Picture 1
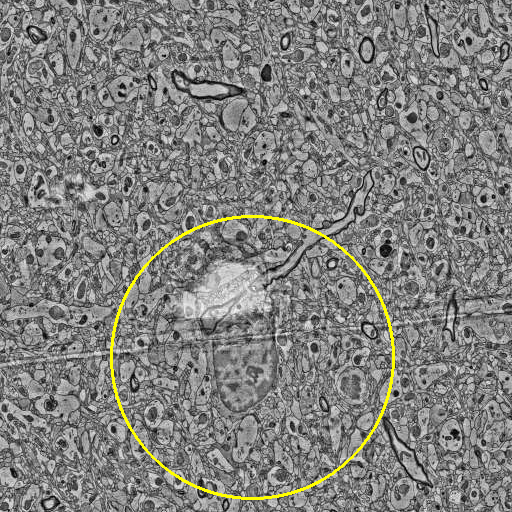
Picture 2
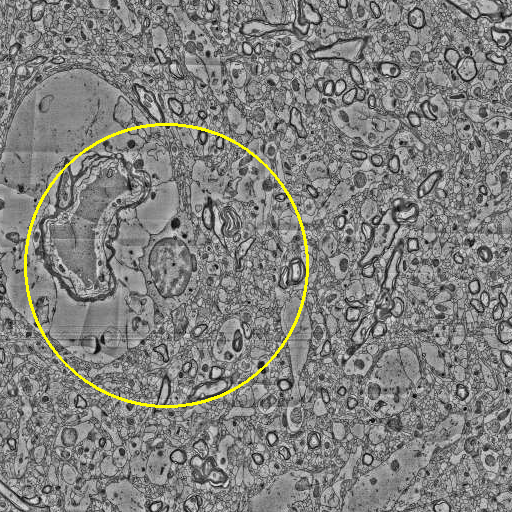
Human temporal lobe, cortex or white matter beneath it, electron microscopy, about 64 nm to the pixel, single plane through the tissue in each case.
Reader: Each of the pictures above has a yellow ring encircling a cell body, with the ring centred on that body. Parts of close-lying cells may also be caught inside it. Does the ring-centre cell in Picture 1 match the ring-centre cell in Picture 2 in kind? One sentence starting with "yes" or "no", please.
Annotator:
Yes, Picture 1 and Picture 2 show ring-centre cells of a single kind.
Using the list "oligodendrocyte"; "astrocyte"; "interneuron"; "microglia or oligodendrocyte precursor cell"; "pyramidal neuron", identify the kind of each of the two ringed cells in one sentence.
Each cell at the centre of a ring is an oligodendrocyte.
